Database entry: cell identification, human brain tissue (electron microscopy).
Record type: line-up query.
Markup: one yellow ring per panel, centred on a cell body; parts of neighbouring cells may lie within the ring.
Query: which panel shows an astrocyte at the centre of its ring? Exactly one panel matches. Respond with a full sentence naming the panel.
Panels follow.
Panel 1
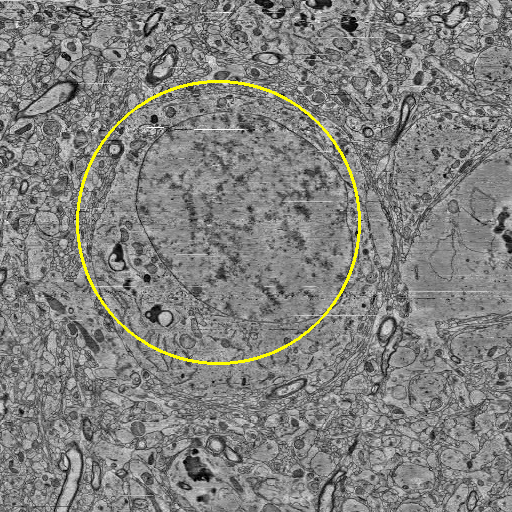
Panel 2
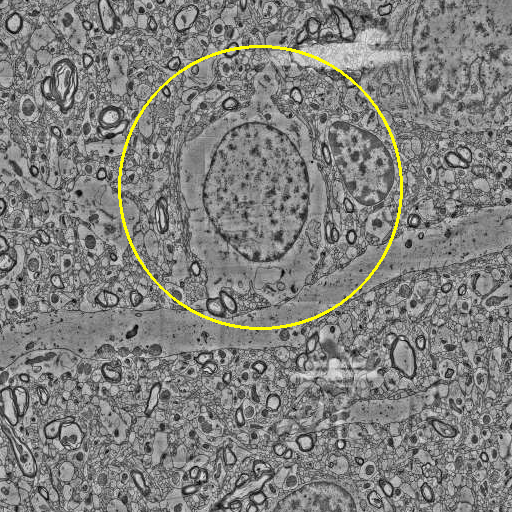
Panel 2 shows it at the centre of the ring.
